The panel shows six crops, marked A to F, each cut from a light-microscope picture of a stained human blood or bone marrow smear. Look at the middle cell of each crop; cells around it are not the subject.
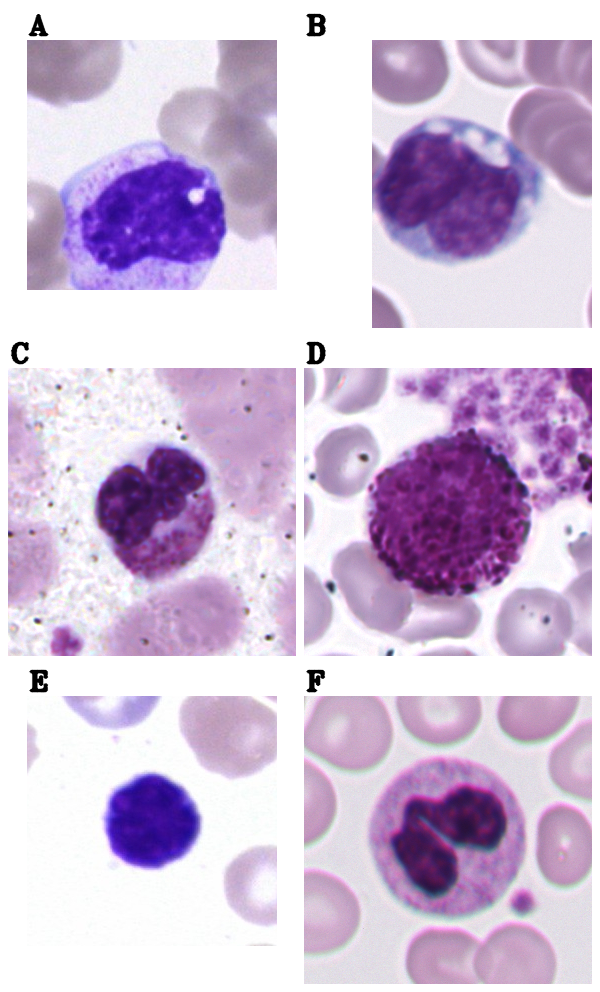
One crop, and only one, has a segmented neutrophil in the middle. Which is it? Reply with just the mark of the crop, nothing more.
F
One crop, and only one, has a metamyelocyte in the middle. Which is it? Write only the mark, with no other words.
A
